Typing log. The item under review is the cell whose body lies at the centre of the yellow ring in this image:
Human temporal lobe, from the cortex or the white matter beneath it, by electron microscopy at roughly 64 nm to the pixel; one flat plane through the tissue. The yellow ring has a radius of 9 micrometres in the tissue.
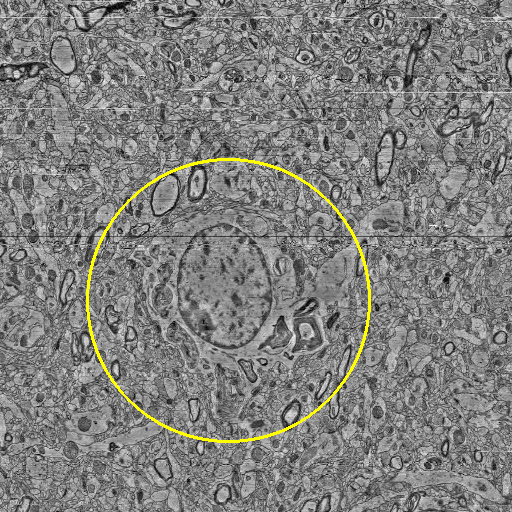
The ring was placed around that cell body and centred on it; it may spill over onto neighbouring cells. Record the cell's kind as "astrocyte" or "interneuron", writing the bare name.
astrocyte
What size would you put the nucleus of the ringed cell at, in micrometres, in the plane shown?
About 8 by 6 micrometers, in this plane.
